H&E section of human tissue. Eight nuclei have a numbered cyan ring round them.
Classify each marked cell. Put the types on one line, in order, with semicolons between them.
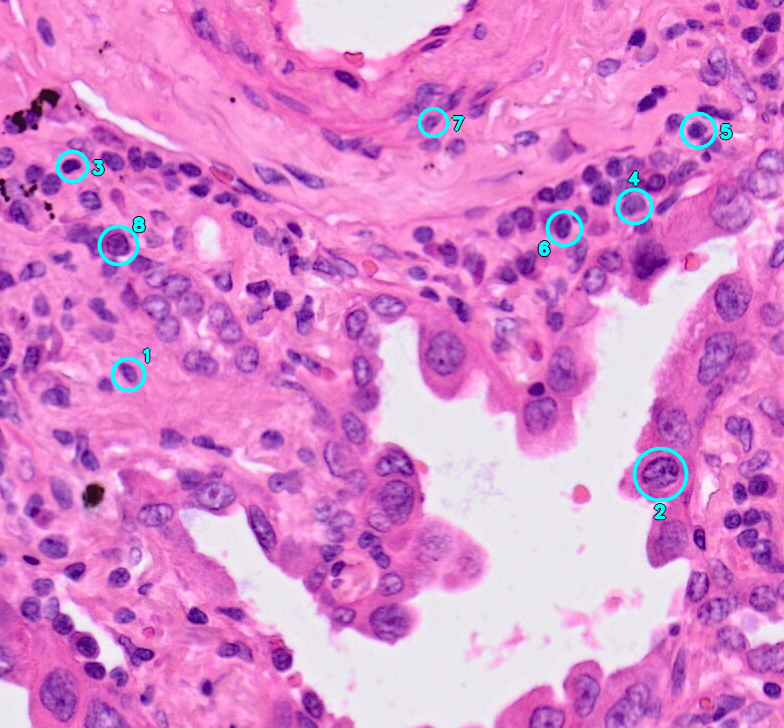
lymphocyte; carcinoma cell; lymphocyte; lymphocyte; lymphocyte; lymphocyte; smooth muscle cell or pericyte; plasma cell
